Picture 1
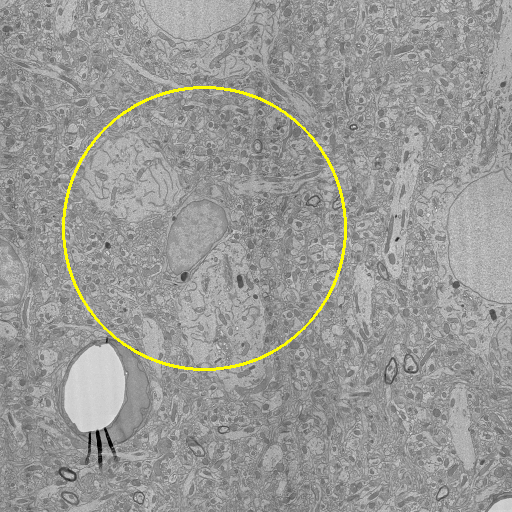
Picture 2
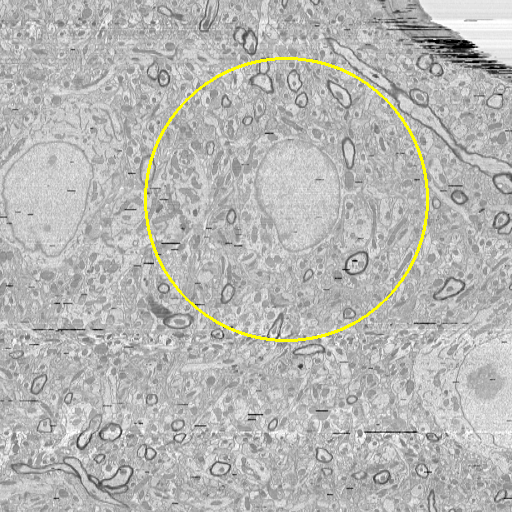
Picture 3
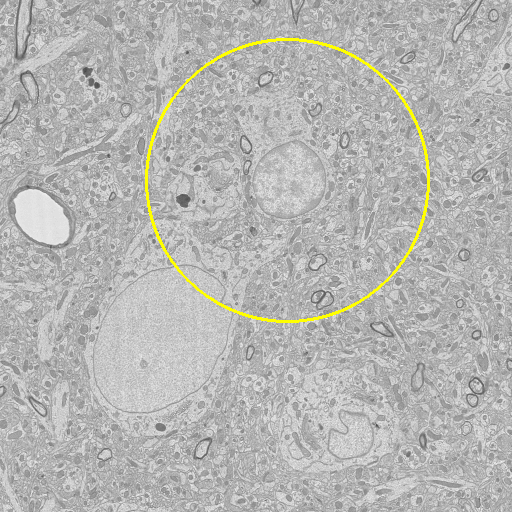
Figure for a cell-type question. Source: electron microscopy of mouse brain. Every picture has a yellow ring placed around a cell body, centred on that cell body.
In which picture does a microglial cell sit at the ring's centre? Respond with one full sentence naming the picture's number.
The cell in the middle of the ring in picture 1 is the one sought.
